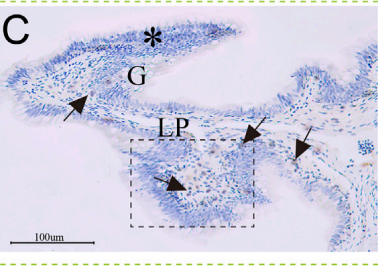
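Here are mucosal folds whose columnar lining and connective-tissue core are much less orderly. The lining is crowded with dark blue nuclei, and in places, especially at the tip of the upper fold and in the lower fold, small round dark nuclei are packed densely, blurring the border between lining and core. Scattered through the core and lining are several cells with a brownish colour. The core is loose with spindle-shaped nuclei.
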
